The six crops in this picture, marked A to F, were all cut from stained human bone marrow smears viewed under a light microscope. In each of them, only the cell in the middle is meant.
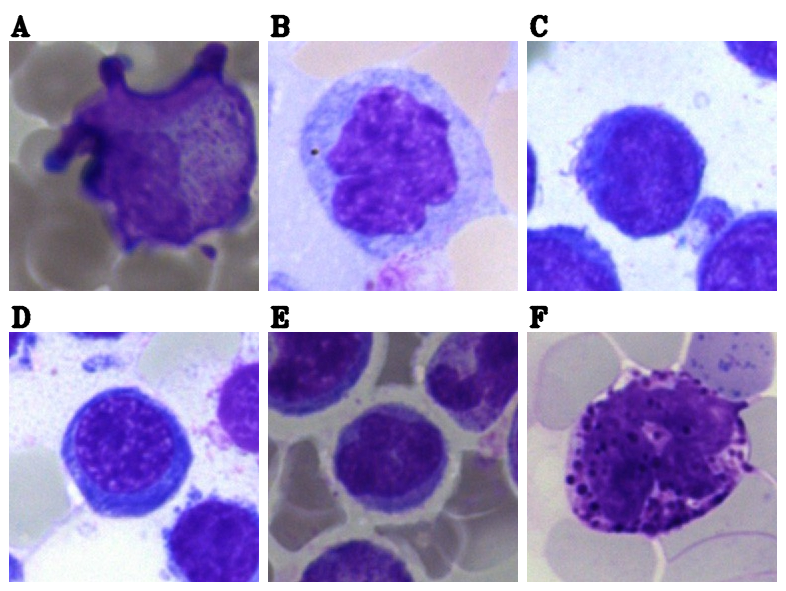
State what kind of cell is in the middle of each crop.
A: blast
B: monocyte
C: blast
D: erythroblast
E: monocyte
F: basophil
